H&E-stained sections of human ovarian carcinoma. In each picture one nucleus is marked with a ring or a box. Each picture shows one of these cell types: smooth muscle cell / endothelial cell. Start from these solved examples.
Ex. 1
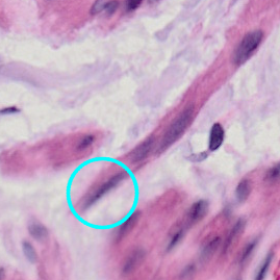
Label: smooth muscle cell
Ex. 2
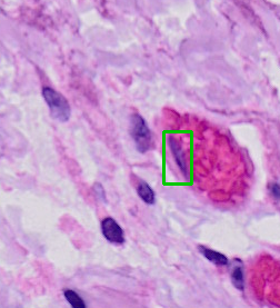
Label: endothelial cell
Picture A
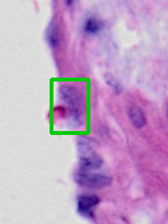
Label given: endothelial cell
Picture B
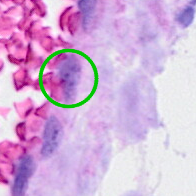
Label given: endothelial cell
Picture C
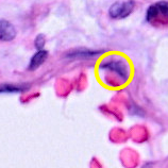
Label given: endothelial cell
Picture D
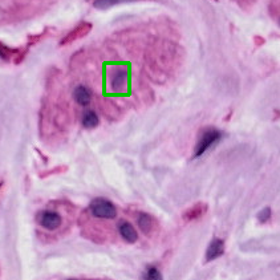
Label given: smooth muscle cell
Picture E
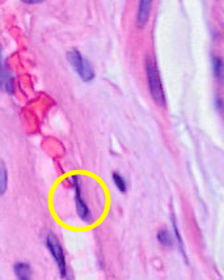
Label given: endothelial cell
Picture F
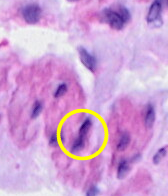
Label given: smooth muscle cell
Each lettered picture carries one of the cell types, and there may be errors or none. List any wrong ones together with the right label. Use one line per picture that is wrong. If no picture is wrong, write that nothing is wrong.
All correct.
